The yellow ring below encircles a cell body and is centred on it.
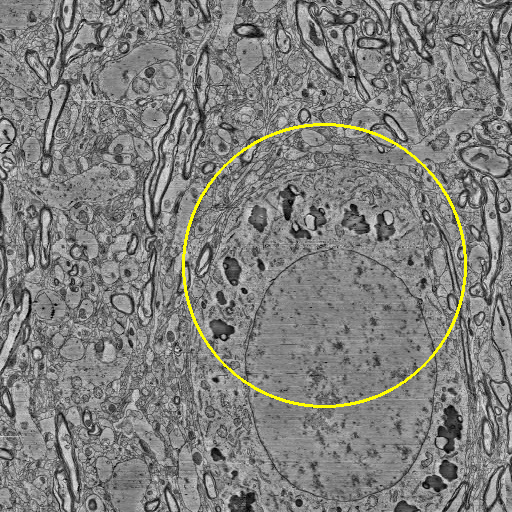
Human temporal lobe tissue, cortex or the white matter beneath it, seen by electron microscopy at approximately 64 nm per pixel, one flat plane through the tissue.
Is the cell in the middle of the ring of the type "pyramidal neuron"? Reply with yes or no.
yes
